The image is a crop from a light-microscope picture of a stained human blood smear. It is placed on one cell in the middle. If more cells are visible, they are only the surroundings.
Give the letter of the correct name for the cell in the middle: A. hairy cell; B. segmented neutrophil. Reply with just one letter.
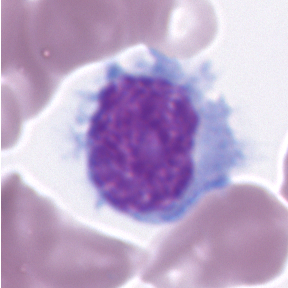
A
